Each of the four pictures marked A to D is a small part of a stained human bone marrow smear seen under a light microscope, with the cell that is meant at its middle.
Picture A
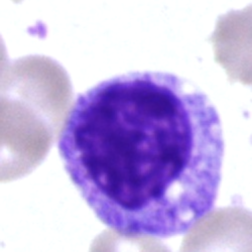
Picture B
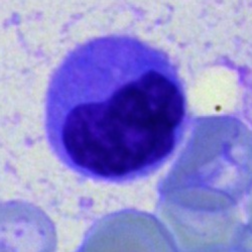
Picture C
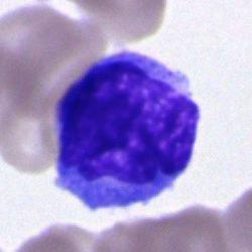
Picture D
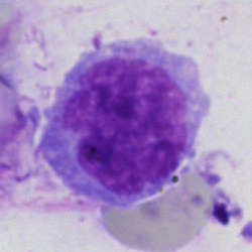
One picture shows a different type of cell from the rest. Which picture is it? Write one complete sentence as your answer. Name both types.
The others show monocytes, but picture A shows a myelocyte.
